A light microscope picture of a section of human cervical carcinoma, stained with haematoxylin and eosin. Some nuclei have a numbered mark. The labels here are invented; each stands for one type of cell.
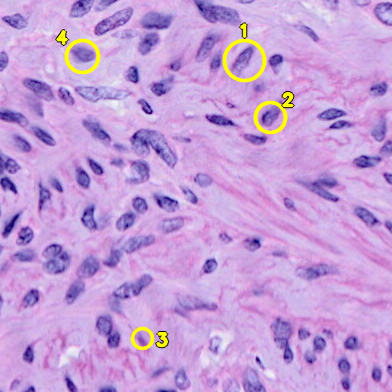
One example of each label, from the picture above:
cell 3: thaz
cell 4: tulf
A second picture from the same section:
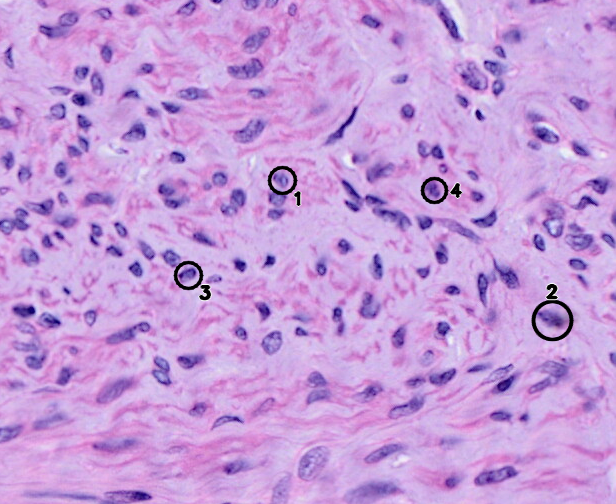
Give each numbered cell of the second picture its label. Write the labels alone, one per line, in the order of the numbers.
thaz
tulf
thaz
thaz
